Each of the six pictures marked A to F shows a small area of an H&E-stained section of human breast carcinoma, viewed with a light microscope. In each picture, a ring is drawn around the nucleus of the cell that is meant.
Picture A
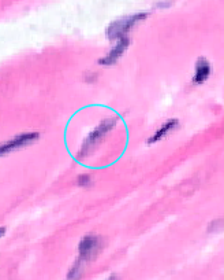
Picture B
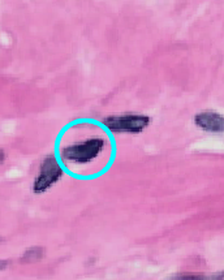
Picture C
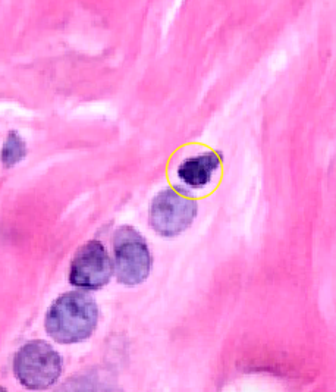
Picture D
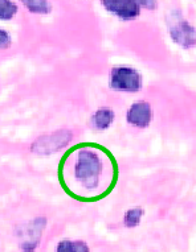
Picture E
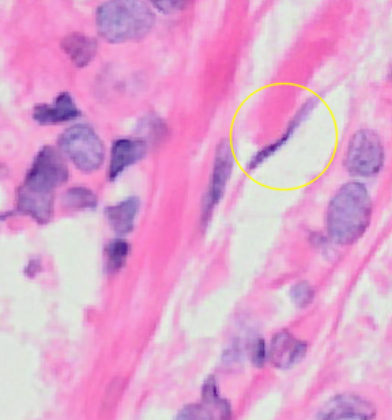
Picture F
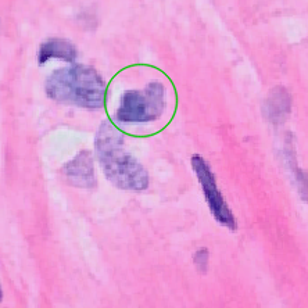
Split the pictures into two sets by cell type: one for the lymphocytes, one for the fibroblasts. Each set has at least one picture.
A: fibroblast
B: lymphocyte
C: lymphocyte
D: lymphocyte
E: fibroblast
F: lymphocyte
